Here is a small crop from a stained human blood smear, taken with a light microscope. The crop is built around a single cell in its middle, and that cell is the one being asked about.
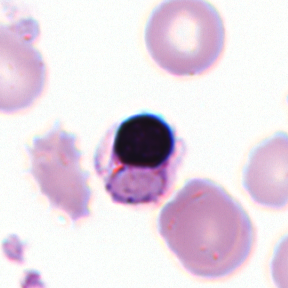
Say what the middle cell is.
normoblast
